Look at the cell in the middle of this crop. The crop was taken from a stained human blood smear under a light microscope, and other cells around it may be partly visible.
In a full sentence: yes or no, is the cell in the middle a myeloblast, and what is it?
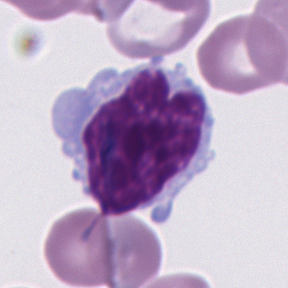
No, that would be a typical lymphocyte, not a myeloblast, for the cell at the centre.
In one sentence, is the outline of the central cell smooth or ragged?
The cytoplasmic margin is uneven, whether through ragged segments or through projections.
